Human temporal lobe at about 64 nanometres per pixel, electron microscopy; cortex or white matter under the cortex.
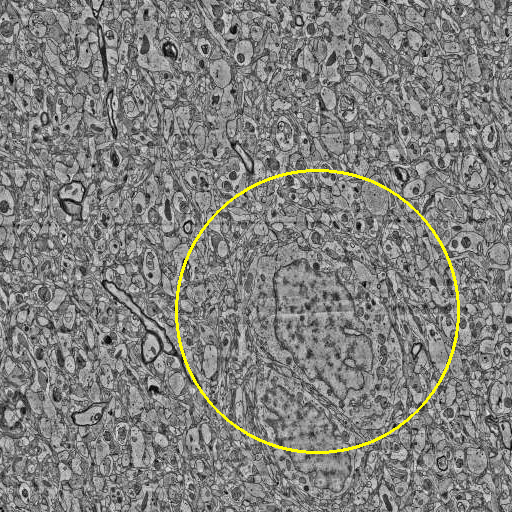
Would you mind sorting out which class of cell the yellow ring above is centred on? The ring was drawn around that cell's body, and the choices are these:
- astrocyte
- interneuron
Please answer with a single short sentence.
This is the cell body of an interneuron.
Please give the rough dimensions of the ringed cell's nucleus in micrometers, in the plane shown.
Approximately 9 by 5 micrometers, which makes the nucleus clearly longer than it is wide in this plane.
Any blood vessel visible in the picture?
No, there is no blood vessel.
